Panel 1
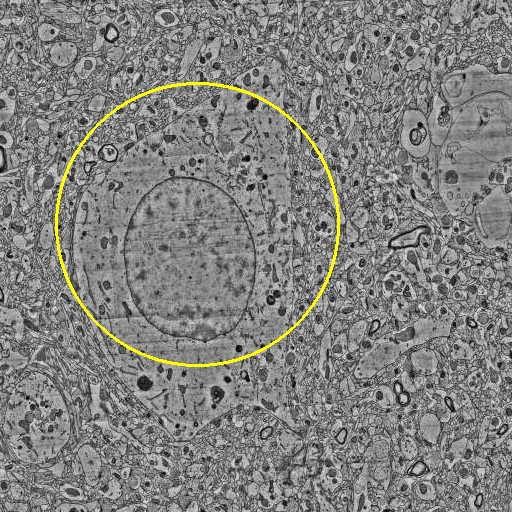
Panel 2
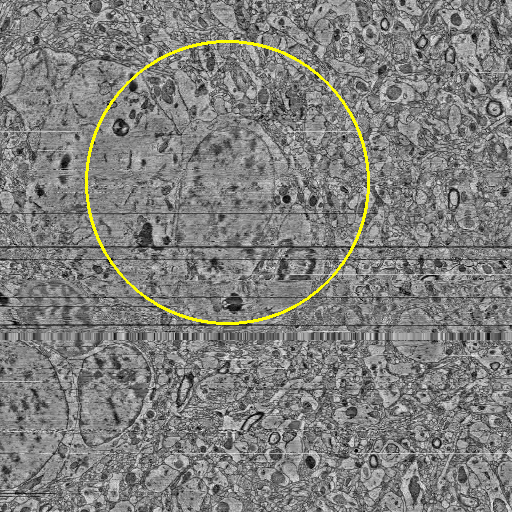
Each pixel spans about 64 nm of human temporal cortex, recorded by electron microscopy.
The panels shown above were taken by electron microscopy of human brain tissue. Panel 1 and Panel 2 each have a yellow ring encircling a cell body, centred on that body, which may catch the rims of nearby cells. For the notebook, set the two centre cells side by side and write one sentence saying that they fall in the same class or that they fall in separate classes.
The centred cells of Panel 1 and Panel 2 fall in separate classes.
